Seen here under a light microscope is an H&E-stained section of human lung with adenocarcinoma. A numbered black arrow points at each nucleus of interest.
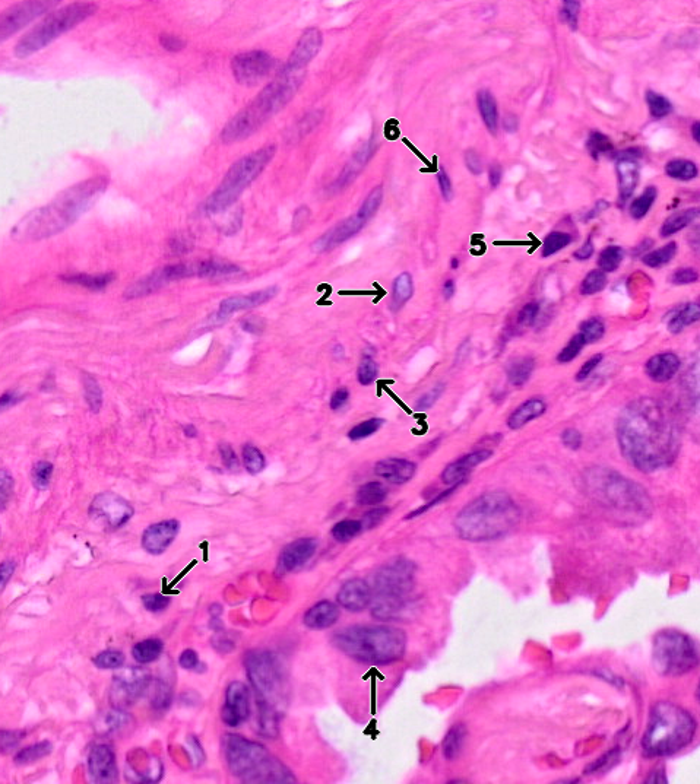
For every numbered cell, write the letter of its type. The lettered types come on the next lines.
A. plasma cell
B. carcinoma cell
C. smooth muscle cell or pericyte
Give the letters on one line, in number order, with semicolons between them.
A; C; C; B; A; C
